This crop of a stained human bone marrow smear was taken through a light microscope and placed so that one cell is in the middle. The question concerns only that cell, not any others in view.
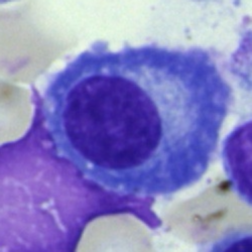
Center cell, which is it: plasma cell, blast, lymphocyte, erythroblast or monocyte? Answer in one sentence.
The cell at the middle of the crop is recognized as a plasma cell.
